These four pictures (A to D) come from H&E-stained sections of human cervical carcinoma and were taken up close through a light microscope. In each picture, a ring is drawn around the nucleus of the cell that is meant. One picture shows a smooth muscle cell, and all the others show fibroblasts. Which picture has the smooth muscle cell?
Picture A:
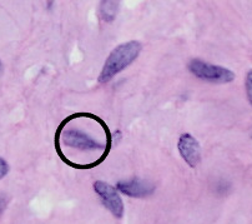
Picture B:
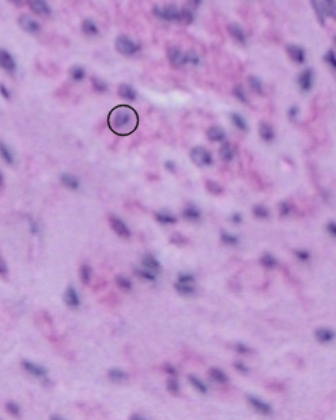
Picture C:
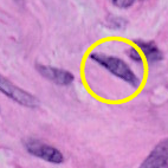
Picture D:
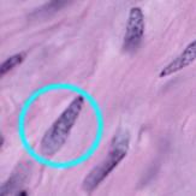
B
